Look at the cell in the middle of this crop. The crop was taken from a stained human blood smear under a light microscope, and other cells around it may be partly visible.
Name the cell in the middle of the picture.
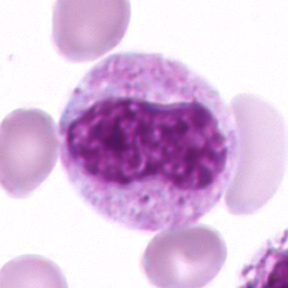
metamyelocyte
